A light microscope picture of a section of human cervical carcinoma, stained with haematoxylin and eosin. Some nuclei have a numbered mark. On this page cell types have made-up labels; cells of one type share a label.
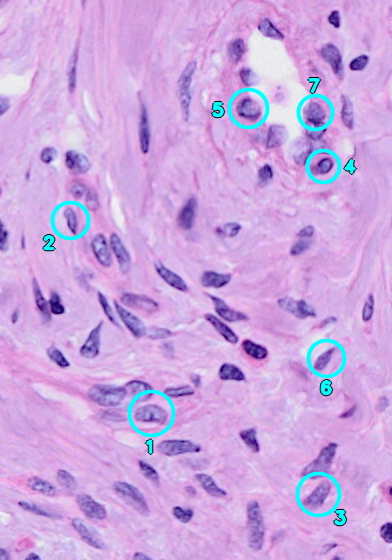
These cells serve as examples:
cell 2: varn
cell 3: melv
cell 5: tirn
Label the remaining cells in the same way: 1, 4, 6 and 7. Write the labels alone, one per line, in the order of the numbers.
tirn
varn
melv
tirn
